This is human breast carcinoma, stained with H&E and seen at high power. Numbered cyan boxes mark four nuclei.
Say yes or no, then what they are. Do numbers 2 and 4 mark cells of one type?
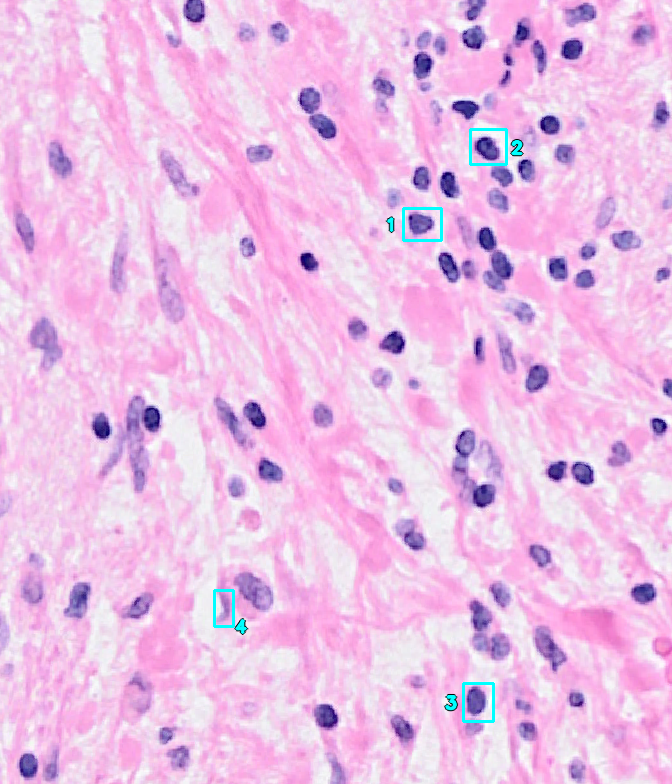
No, the right answer is a lymphocyte for cell 2 and a fibroblast for cell 4.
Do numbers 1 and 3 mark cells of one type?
Yes, as for cells 1 and 3, both are lymphocytes.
